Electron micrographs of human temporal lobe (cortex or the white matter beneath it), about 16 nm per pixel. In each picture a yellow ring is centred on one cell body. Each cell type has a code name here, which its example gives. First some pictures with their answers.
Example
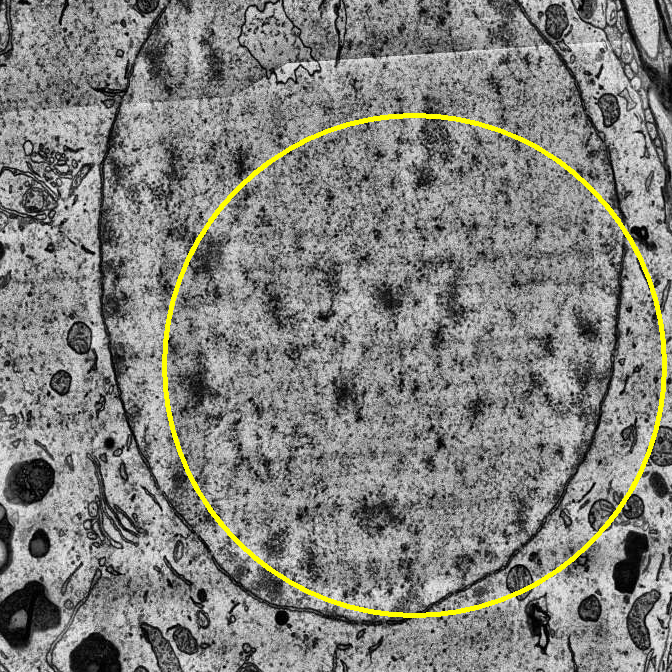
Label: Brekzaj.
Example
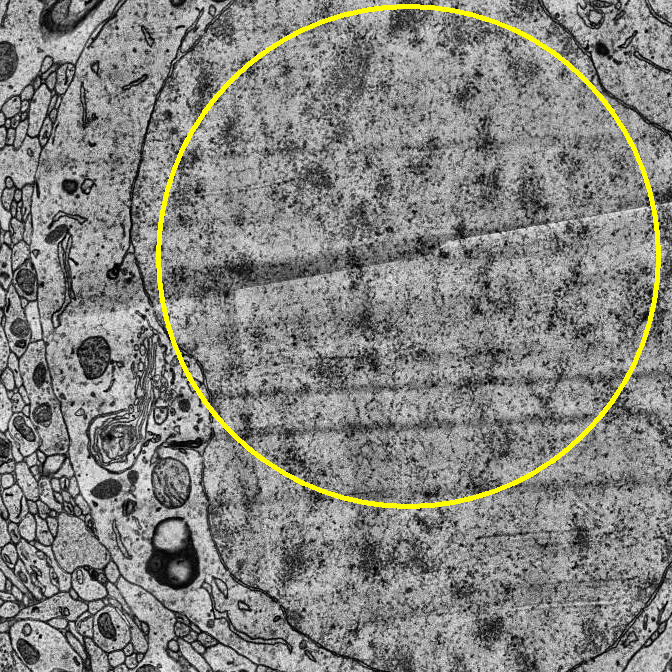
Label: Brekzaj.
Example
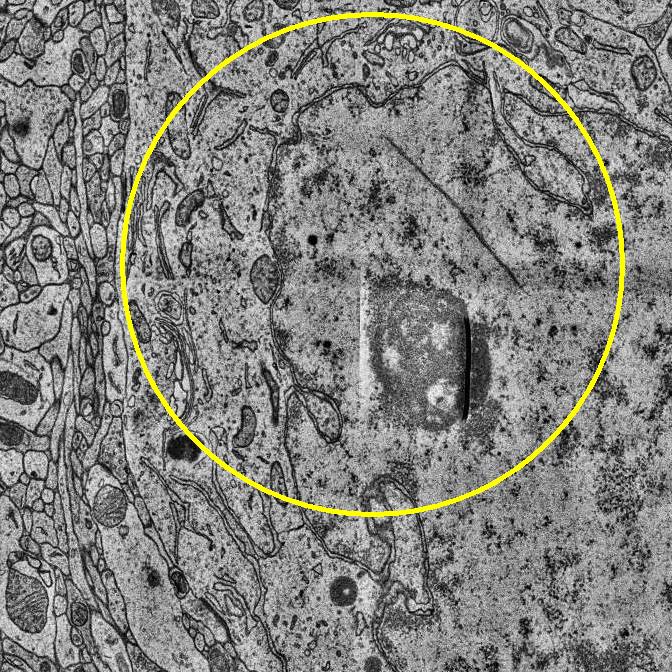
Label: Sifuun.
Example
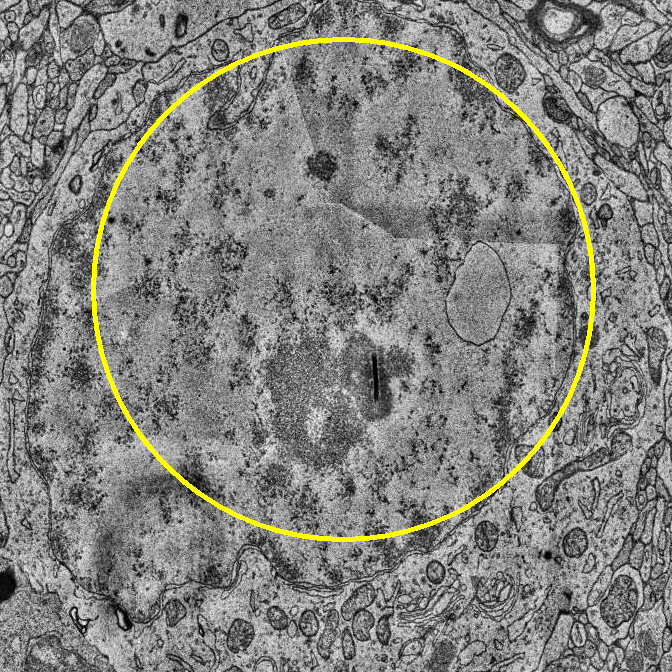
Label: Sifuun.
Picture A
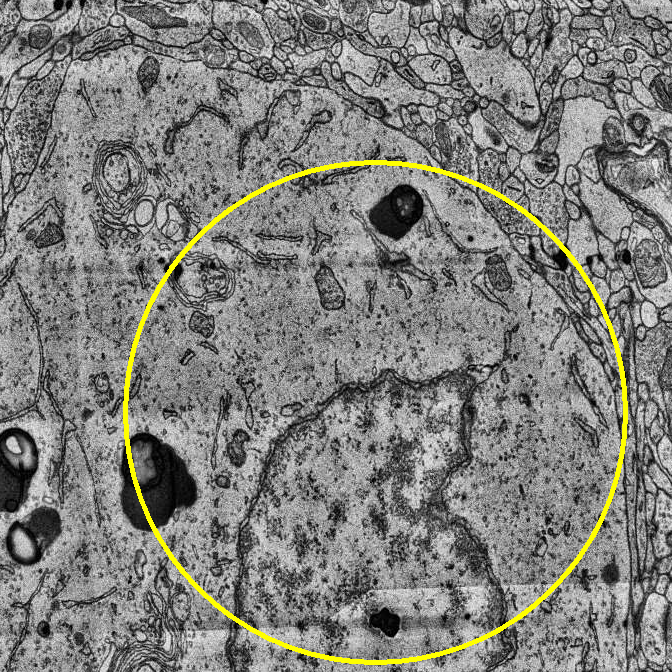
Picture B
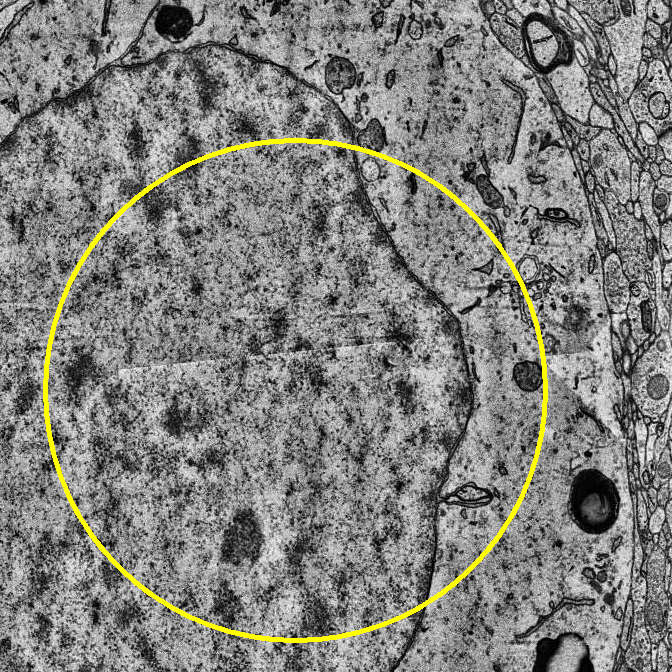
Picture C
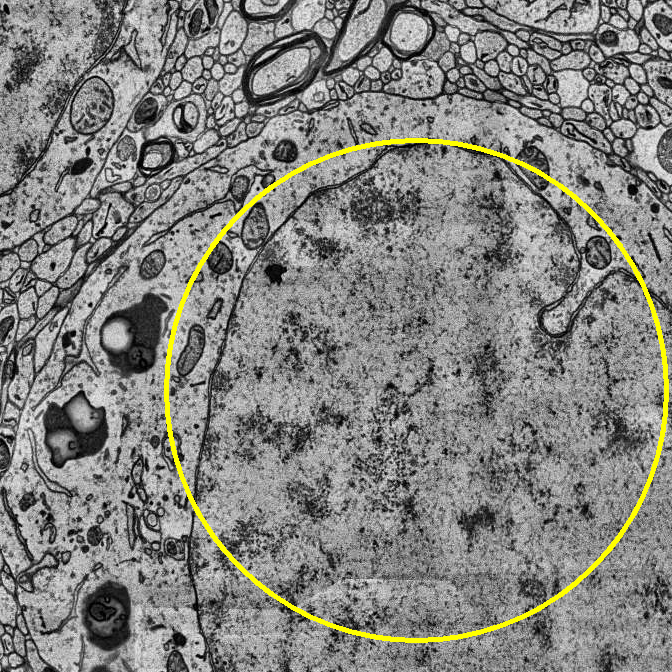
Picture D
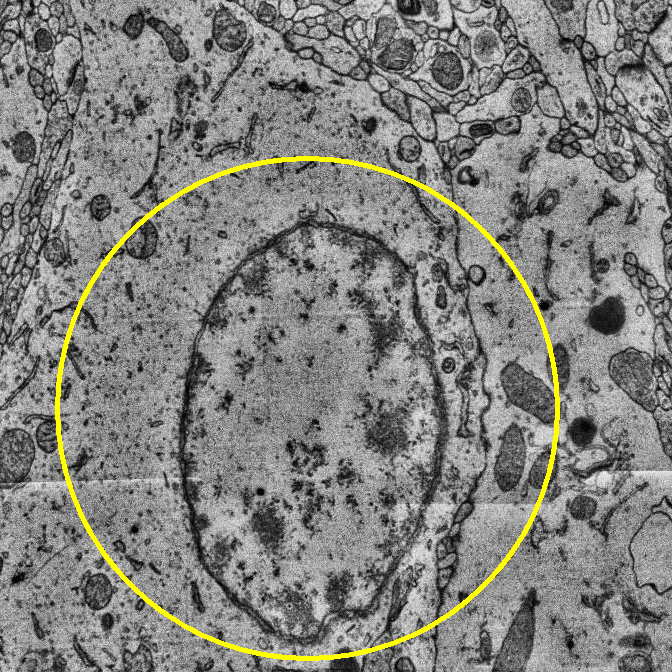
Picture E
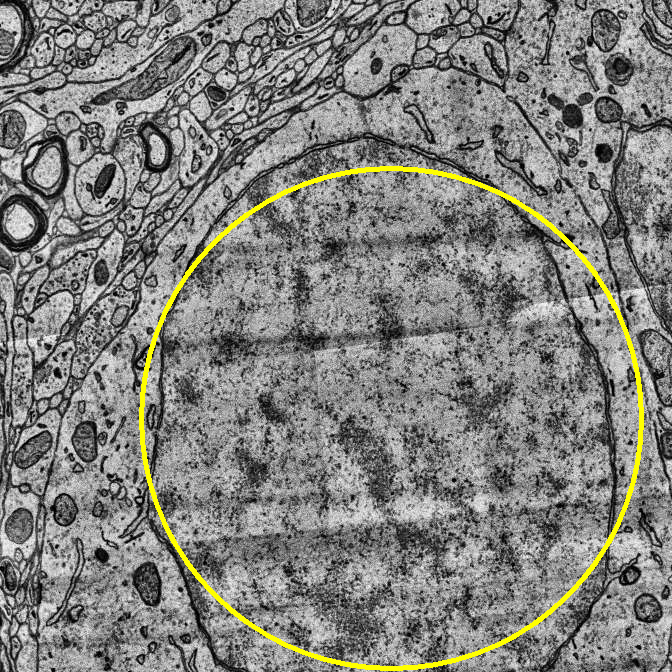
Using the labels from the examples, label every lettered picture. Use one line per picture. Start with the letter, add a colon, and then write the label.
A: Brekzaj.
B: Brekzaj.
C: Brekzaj.
D: Brekzaj.
E: Brekzaj.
